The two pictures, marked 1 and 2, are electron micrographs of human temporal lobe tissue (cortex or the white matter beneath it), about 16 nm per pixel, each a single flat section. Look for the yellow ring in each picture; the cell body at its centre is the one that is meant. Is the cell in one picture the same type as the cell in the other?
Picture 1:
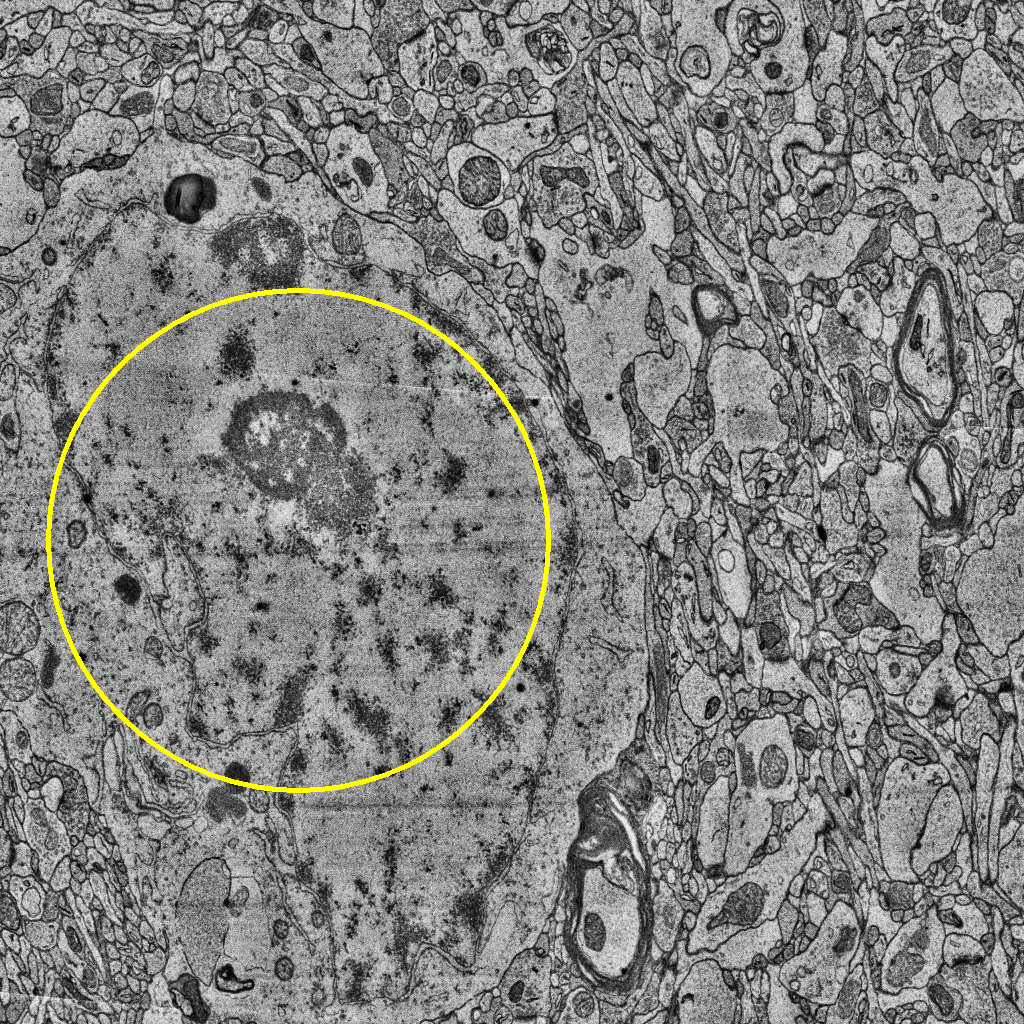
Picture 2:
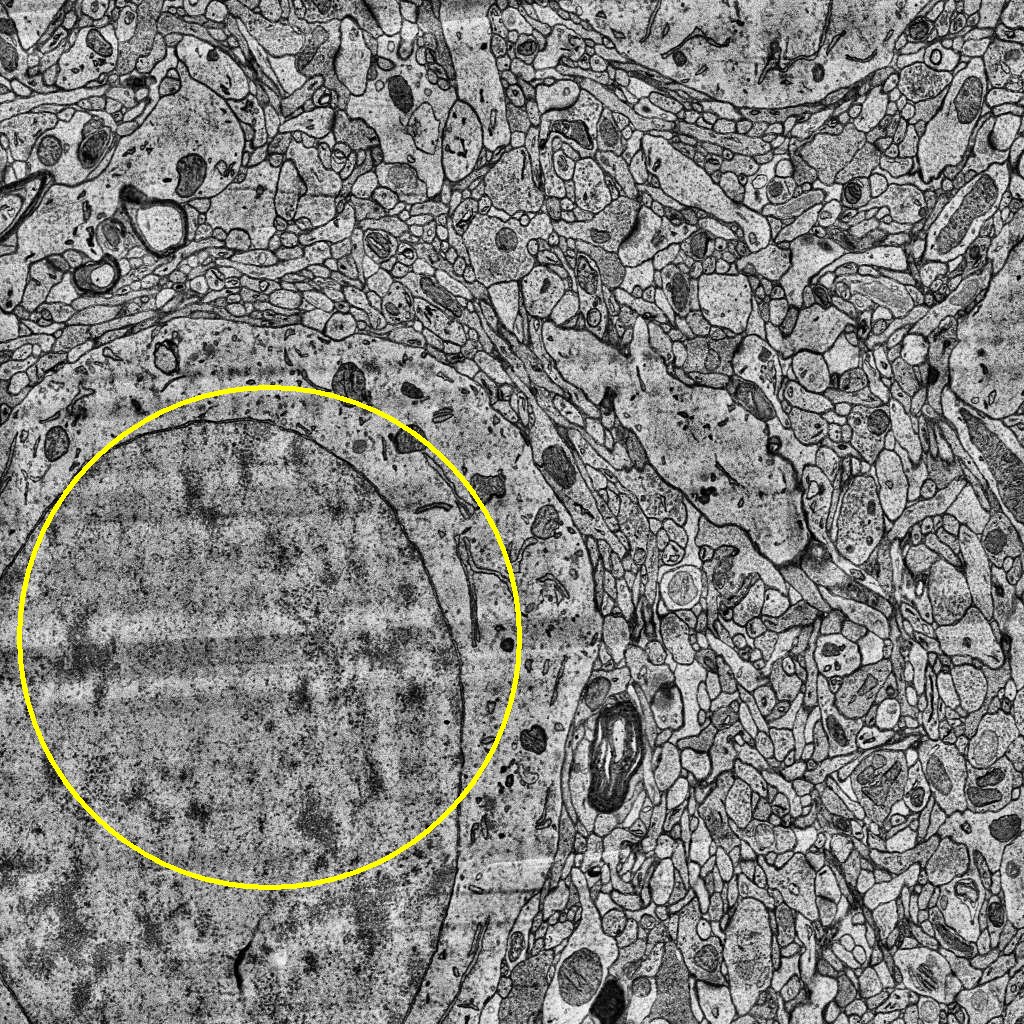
No, they differ: the cell is an interneuron in picture 1 and a pyramidal neuron in picture 2.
